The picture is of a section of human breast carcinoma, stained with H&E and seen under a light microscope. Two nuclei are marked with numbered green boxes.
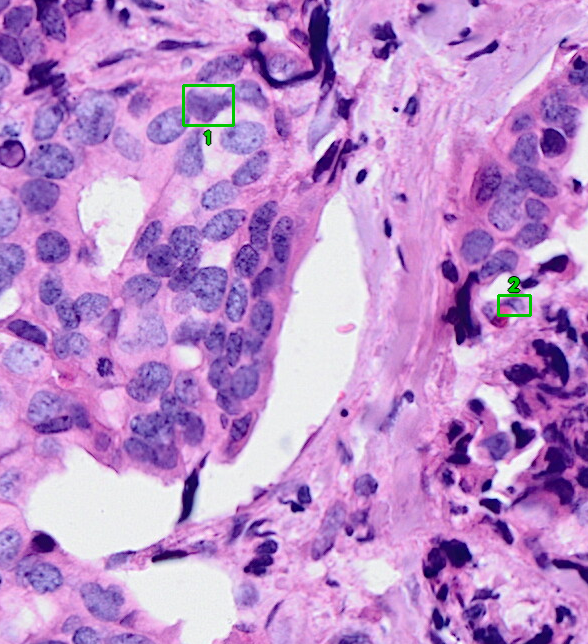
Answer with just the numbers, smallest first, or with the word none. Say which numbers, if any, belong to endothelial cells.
2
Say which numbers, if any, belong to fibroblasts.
none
